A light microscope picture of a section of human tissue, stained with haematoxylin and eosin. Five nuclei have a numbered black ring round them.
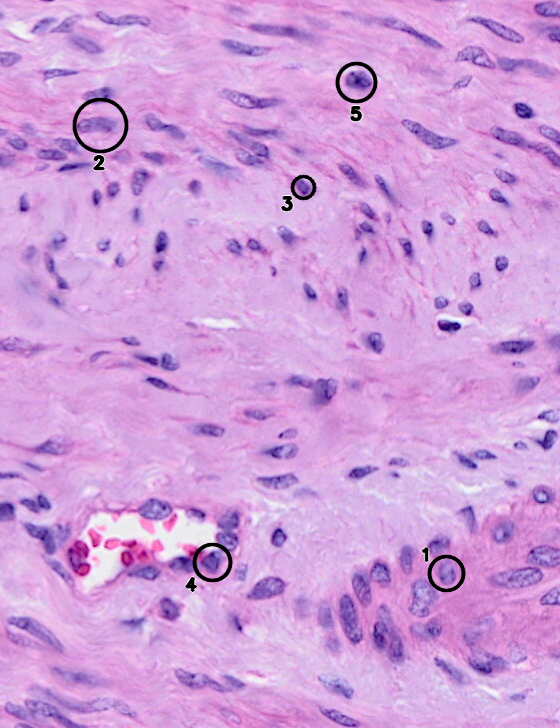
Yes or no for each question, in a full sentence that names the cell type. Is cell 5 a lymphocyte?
Yes, cell number 5 is classified as a lymphocyte.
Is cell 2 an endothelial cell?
No, cell 2 is not an endothelial cell, but is instead a smooth muscle cell.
